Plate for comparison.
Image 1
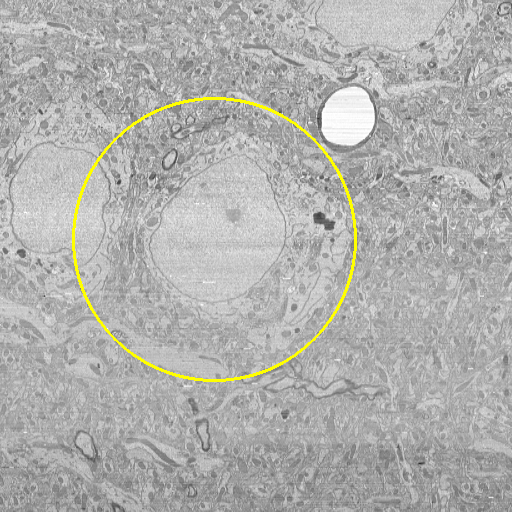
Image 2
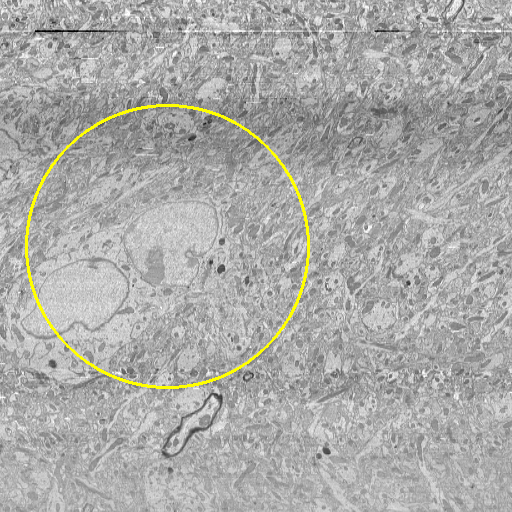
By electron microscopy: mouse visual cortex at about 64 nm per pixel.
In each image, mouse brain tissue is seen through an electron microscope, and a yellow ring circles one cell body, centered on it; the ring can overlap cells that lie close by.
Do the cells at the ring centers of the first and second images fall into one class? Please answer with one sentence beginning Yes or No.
No, the first and second images show two classes of cell at the ring centers.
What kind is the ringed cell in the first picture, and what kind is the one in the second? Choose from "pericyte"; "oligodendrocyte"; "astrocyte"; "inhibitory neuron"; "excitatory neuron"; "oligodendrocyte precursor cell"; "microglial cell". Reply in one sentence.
The first cell is an excitatory neuron; the second is an oligodendrocyte precursor cell.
